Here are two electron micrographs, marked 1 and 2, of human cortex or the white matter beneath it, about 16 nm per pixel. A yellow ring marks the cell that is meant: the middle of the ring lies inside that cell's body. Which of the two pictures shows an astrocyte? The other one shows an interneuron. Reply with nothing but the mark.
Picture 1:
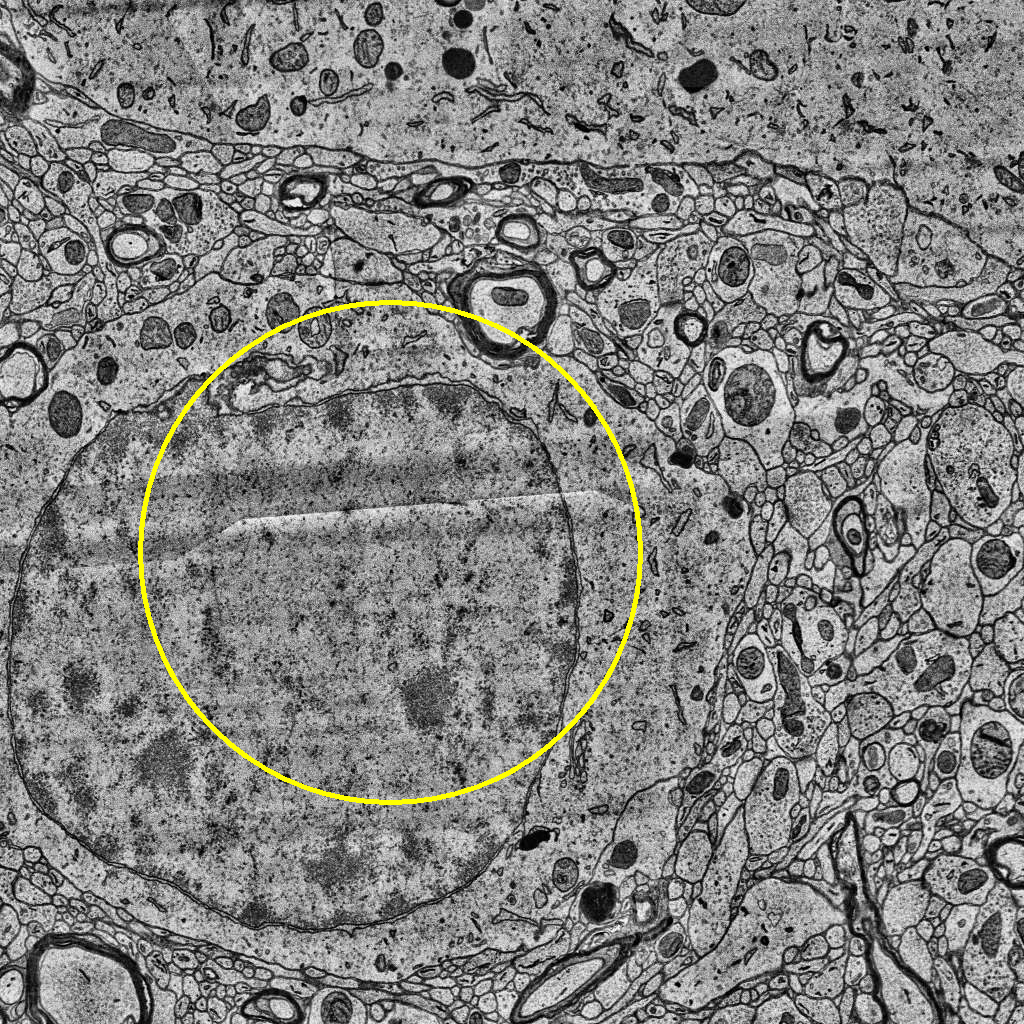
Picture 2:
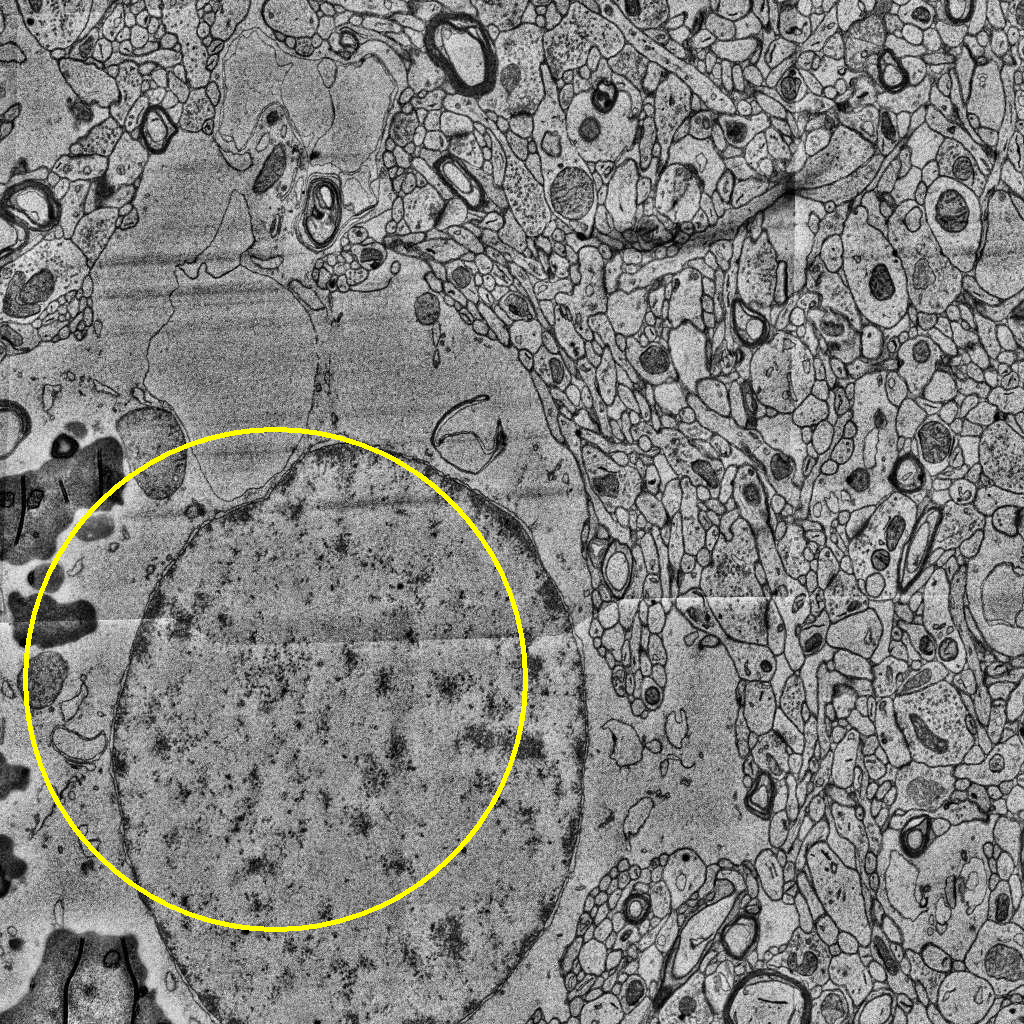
2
